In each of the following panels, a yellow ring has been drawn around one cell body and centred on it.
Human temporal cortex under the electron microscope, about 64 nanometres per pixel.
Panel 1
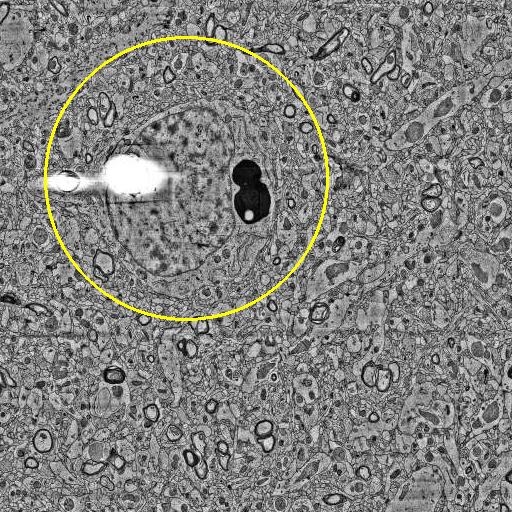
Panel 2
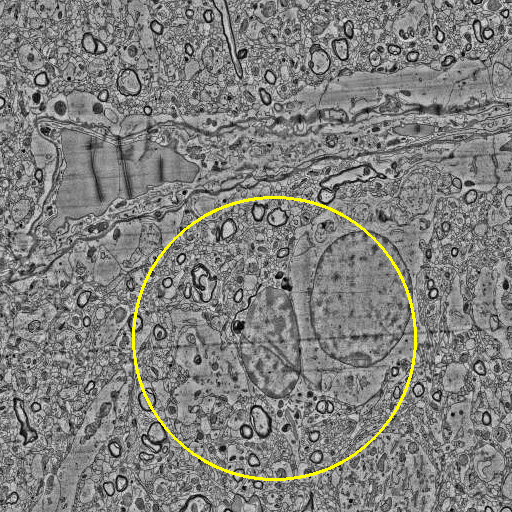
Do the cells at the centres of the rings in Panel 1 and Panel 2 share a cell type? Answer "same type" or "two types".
two types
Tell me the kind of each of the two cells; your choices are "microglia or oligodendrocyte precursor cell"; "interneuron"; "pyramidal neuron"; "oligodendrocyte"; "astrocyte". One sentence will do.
The ringed cell is an interneuron in the first picture and a microglial cell or oligodendrocyte precursor cell in the second picture.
